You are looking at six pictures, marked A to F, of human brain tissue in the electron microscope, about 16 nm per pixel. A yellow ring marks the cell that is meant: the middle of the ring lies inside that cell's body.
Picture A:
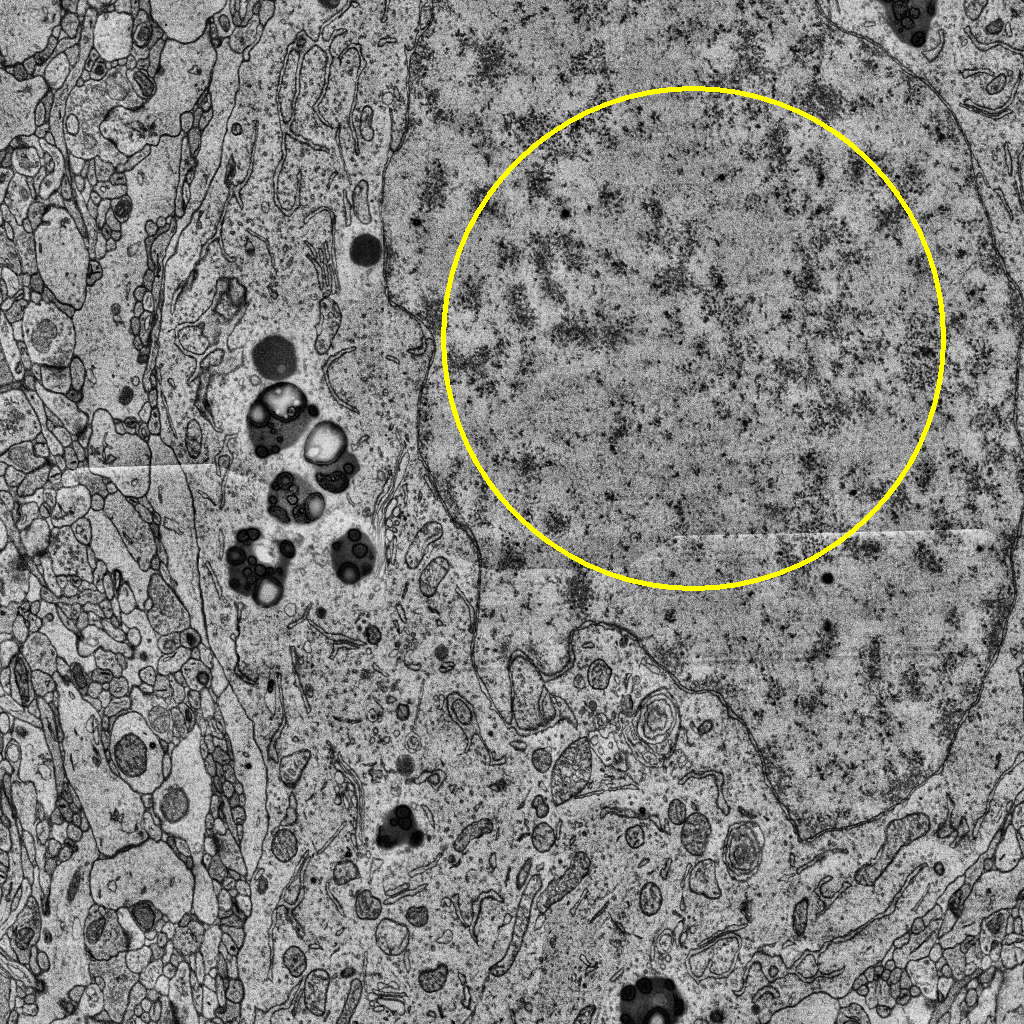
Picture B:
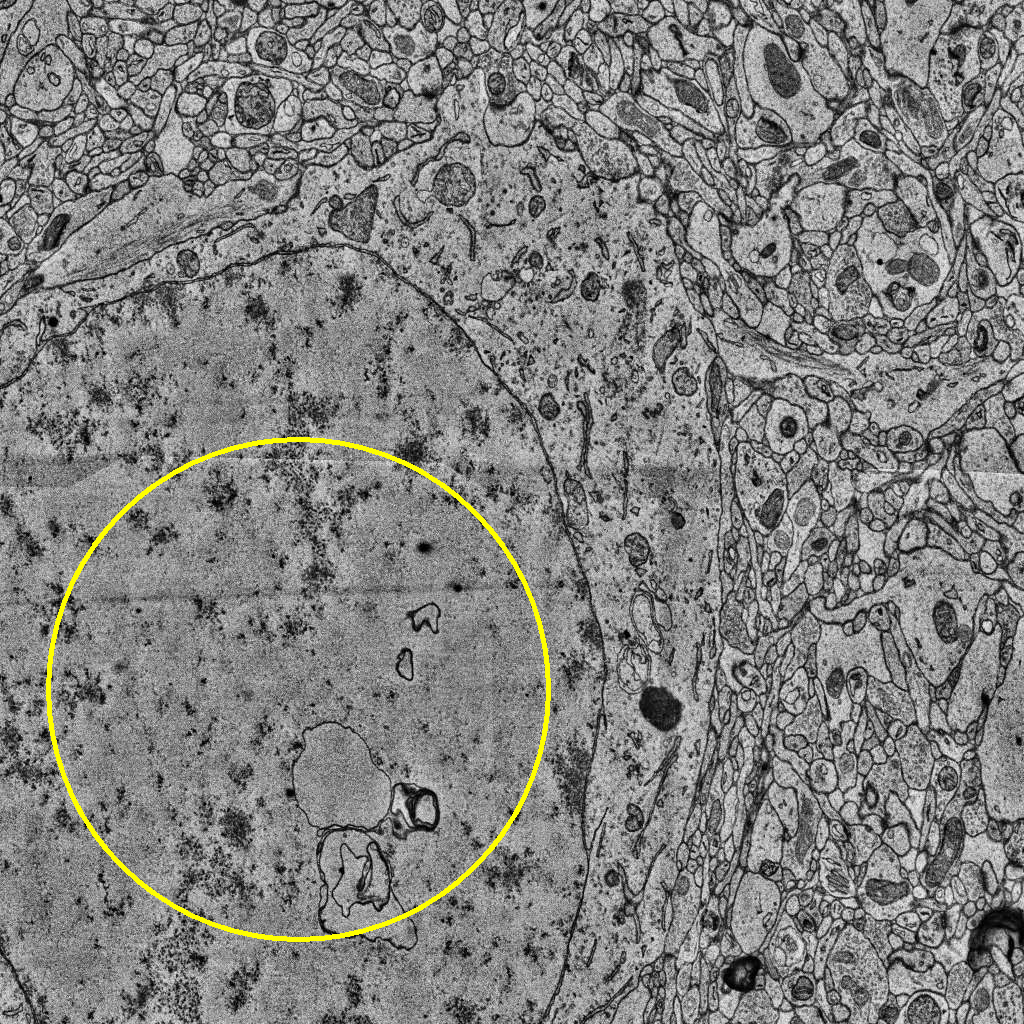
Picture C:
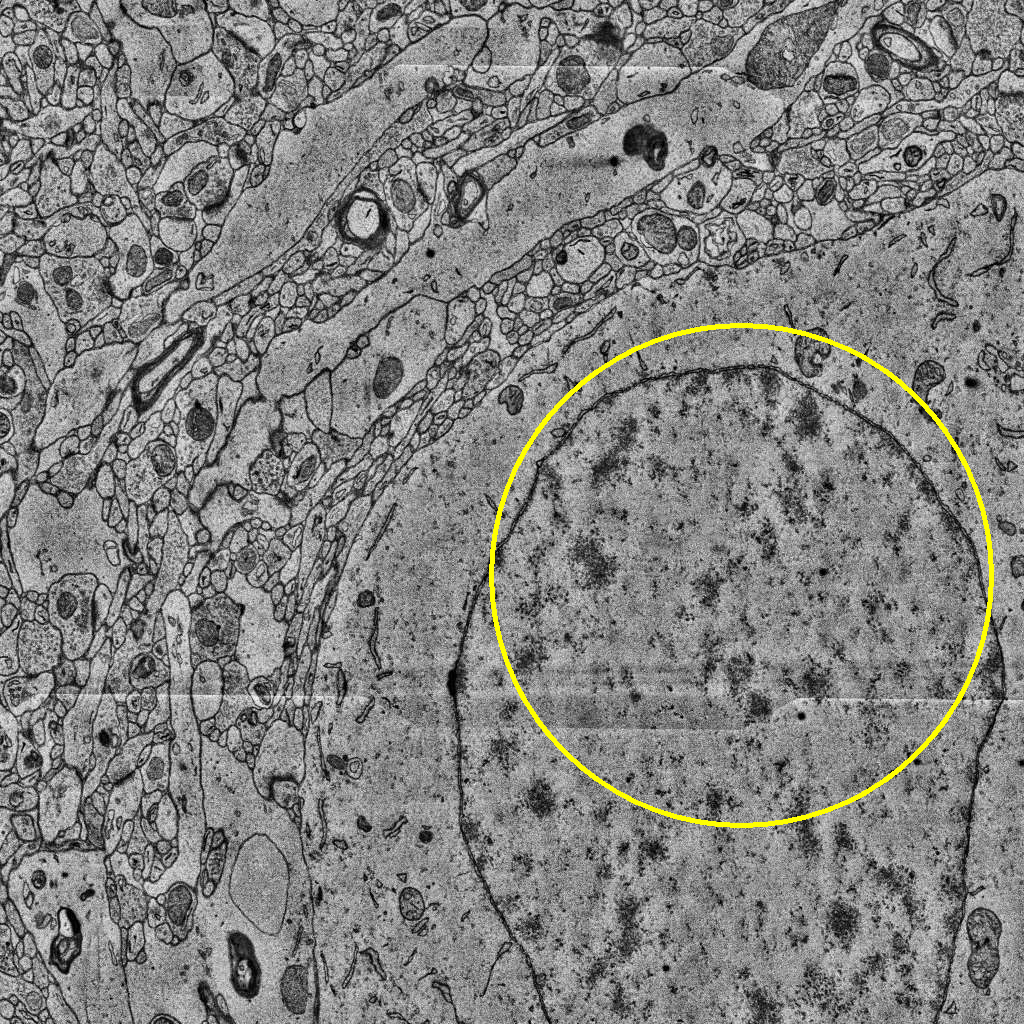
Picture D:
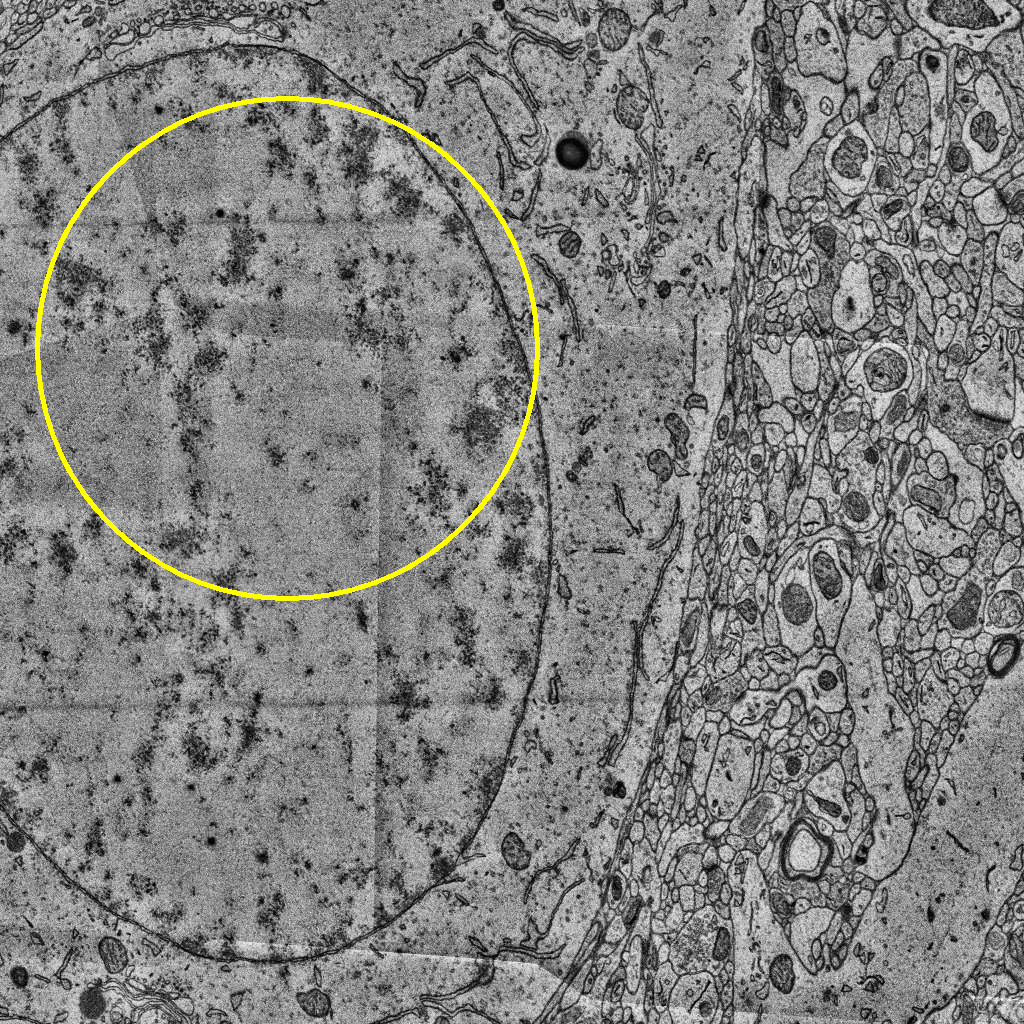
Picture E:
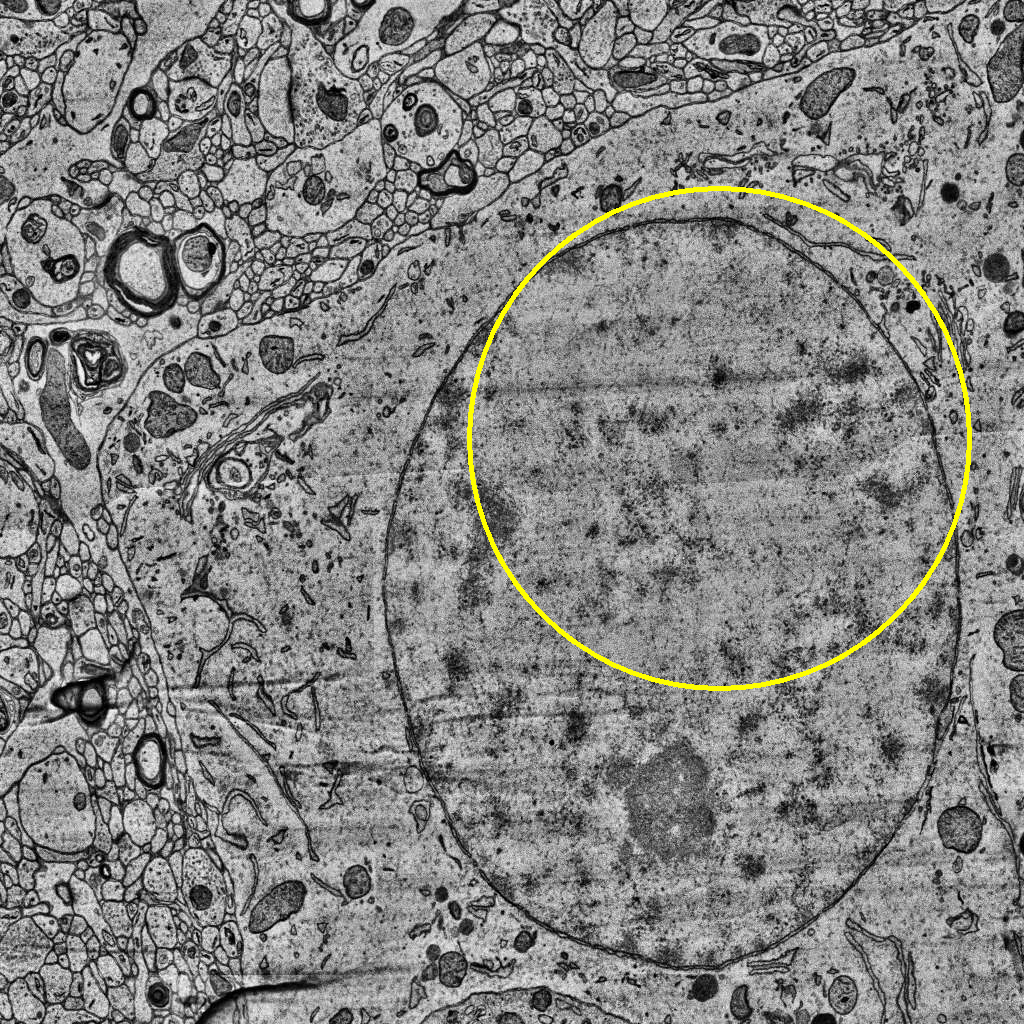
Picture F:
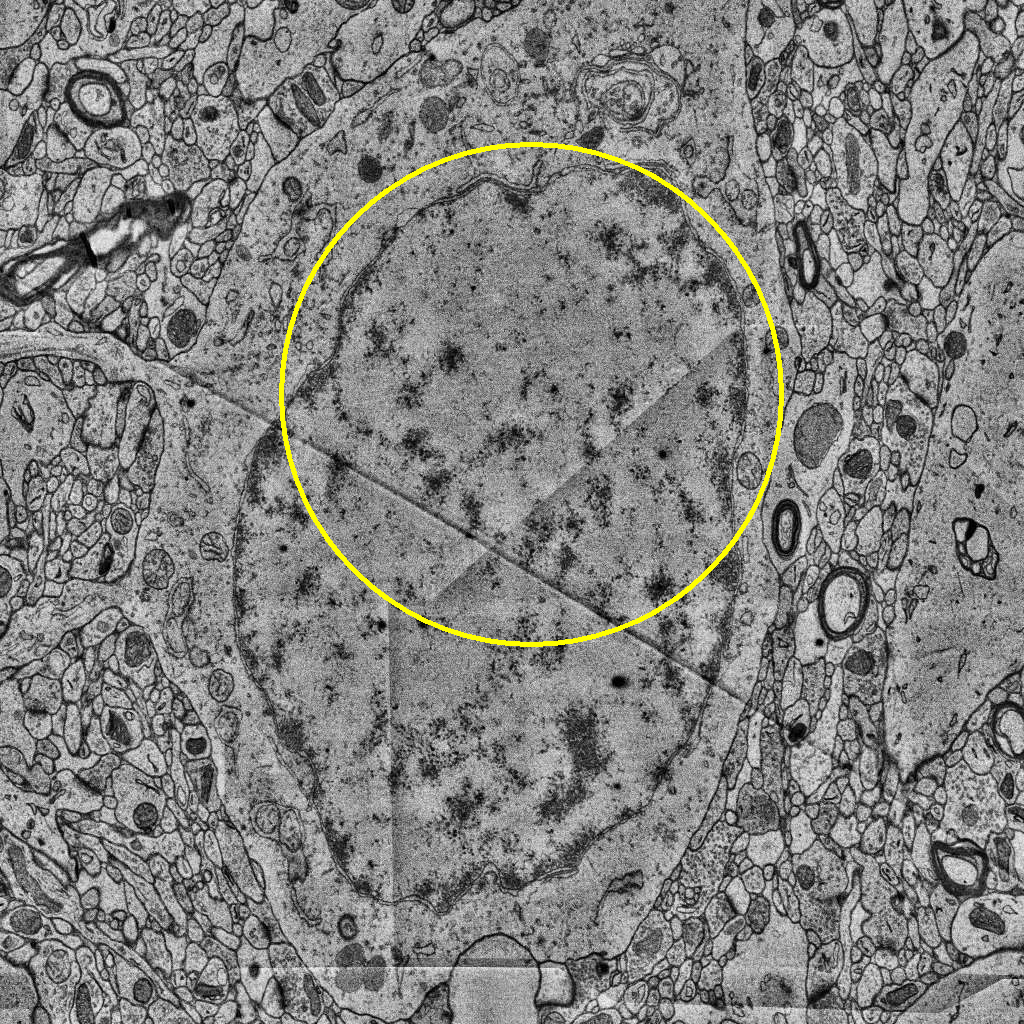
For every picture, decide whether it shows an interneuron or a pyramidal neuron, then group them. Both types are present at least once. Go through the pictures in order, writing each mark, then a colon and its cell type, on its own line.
A: interneuron
B: pyramidal neuron
C: pyramidal neuron
D: pyramidal neuron
E: pyramidal neuron
F: interneuron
